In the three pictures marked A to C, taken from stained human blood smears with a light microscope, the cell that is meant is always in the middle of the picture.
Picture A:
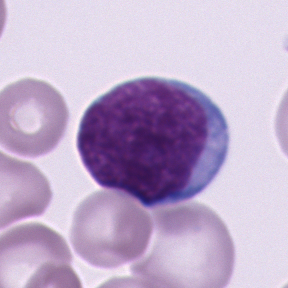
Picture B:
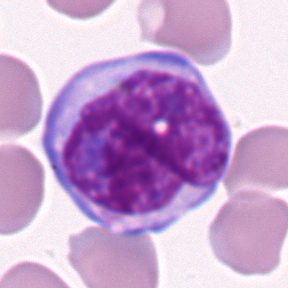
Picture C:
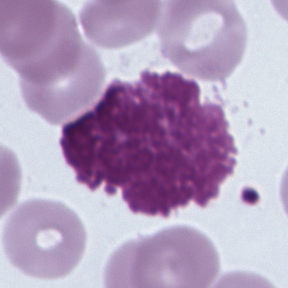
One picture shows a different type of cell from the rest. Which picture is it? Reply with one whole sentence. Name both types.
The others show myeloblasts, but picture C shows a smudge cell.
